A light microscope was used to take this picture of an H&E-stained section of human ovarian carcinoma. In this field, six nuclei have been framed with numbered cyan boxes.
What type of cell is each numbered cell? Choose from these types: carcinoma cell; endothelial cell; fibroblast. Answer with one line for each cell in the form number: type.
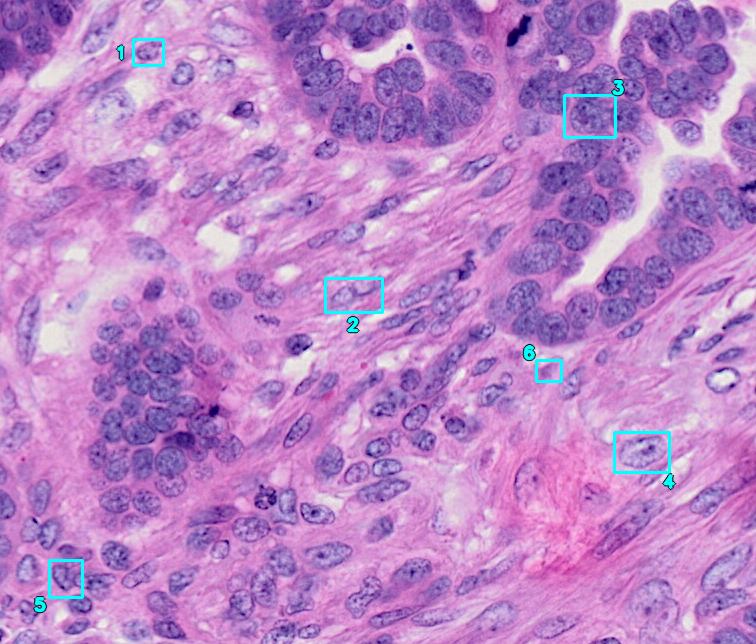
1: fibroblast
2: fibroblast
3: carcinoma cell
4: fibroblast
5: endothelial cell
6: fibroblast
